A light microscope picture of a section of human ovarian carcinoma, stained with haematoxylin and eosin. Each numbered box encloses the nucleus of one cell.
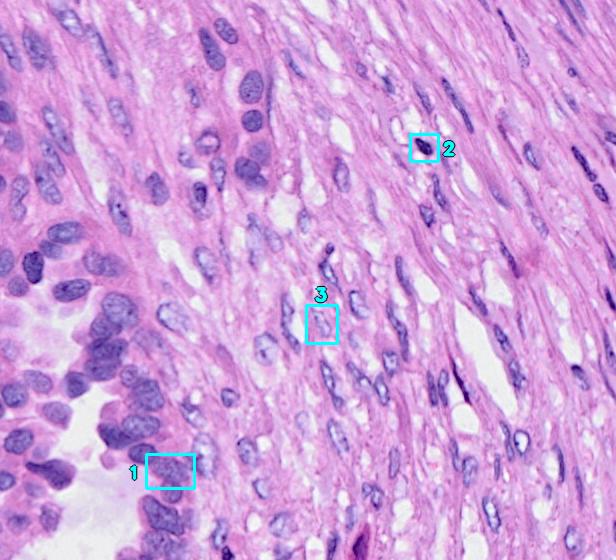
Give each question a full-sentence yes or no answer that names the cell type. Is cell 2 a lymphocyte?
Yes, that one, number 2, is a lymphocyte.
